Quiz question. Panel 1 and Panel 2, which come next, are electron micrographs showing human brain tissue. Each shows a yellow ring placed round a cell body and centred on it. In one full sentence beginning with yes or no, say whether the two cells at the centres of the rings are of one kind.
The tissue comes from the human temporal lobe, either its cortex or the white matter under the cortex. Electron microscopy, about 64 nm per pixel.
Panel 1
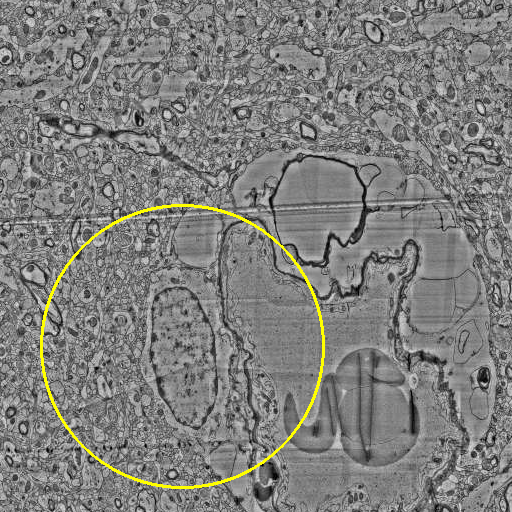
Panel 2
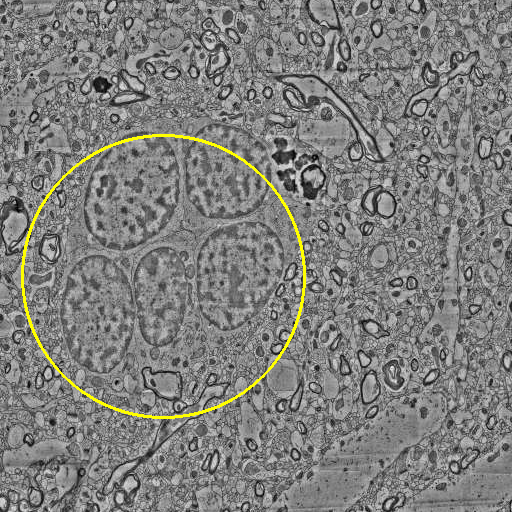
No, Panel 1 and Panel 2 show two kinds of cell at the centre of the ring.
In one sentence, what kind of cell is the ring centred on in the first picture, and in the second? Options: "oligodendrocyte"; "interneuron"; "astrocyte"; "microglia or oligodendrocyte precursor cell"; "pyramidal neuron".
The cell at the centre of the second ring is an oligodendrocyte; the first ring's cell is a microglial cell or oligodendrocyte precursor cell.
